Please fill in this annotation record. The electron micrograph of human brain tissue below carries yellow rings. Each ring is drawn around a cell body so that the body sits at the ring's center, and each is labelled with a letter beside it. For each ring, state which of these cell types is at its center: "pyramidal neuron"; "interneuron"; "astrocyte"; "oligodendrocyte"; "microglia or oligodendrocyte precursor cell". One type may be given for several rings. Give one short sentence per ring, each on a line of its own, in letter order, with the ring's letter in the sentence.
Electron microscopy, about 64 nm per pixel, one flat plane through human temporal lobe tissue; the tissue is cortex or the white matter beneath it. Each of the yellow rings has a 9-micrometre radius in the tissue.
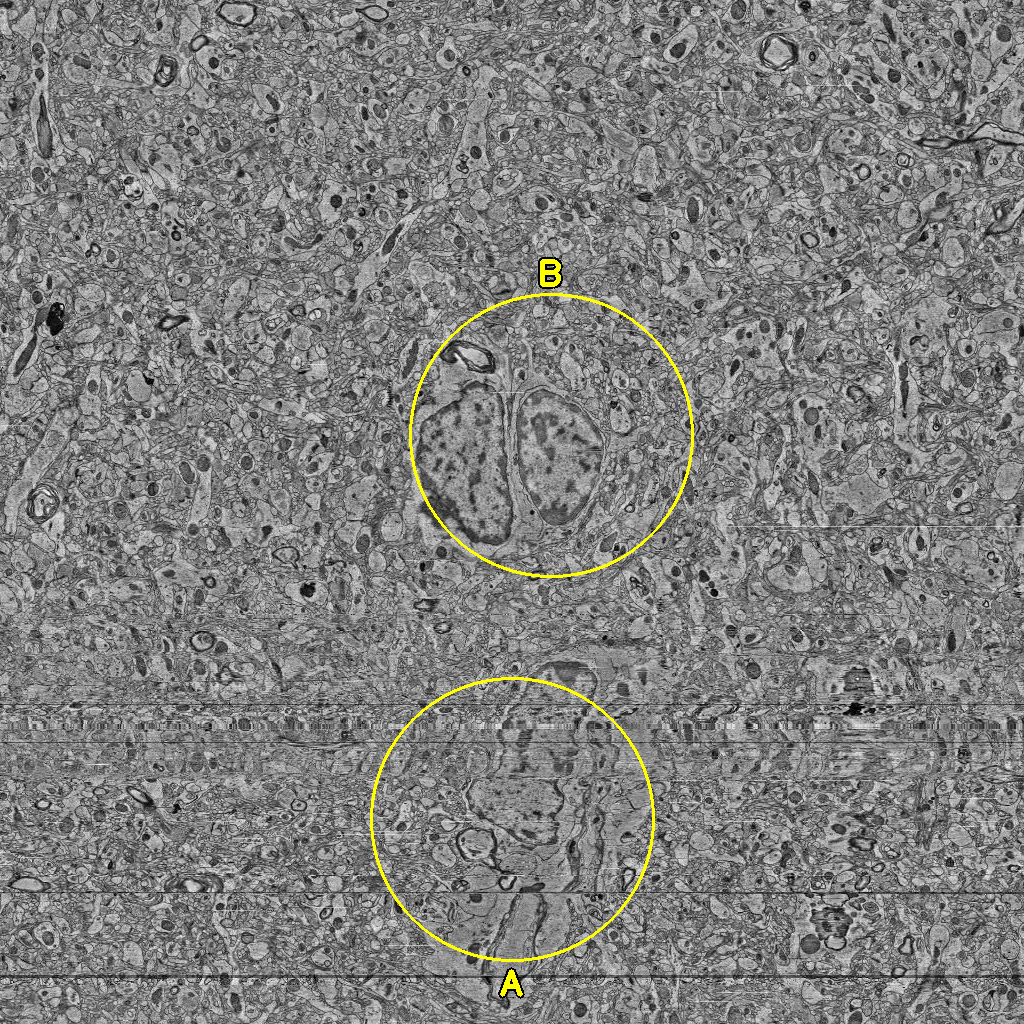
Ring A is drawn around a microglial cell or oligodendrocyte precursor cell.
Ring B is drawn around a microglial cell or oligodendrocyte precursor cell.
